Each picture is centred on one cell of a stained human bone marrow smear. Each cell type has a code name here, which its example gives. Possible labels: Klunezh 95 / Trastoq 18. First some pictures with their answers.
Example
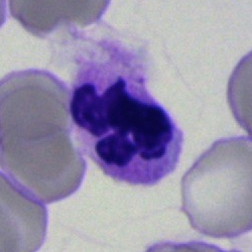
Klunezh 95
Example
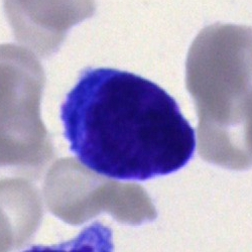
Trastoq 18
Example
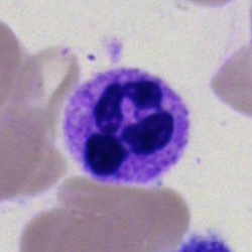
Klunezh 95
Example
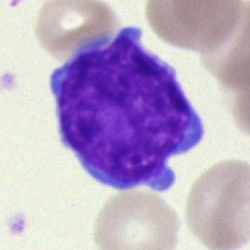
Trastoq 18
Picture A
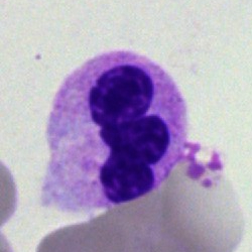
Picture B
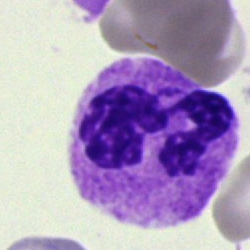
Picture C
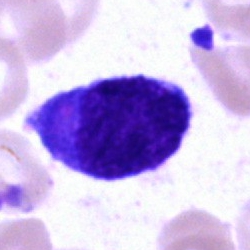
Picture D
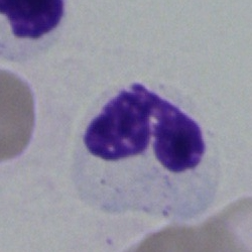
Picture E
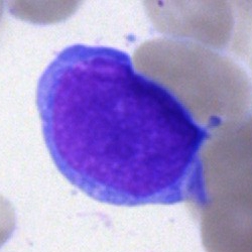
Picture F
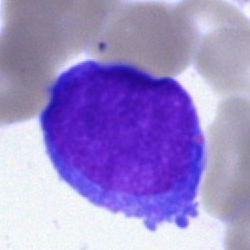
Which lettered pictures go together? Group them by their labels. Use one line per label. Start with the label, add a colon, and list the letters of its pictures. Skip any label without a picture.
Klunezh 95: A, B, D
Trastoq 18: C, E, F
